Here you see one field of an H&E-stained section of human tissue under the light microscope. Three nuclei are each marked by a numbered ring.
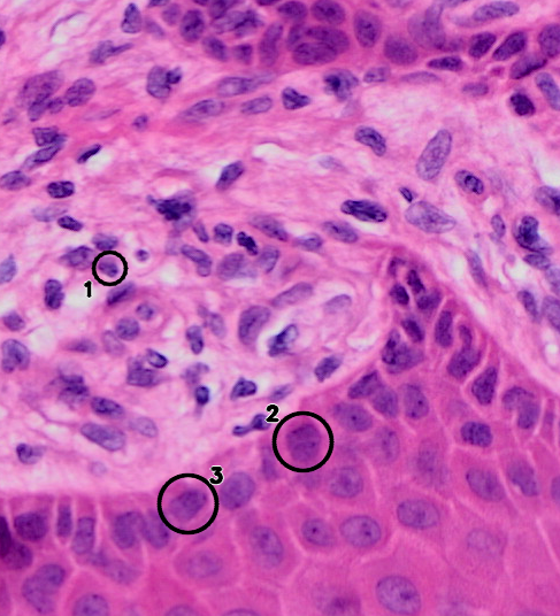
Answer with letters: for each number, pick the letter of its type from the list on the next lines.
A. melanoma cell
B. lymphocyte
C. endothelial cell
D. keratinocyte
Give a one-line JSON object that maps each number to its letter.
{"1": "B", "2": "D", "3": "D"}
